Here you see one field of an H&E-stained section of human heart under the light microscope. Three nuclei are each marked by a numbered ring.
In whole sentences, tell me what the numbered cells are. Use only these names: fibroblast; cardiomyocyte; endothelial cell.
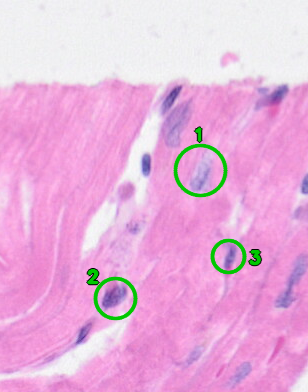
Cell 1 is a cardiomyocyte. Cell 2 is a fibroblast. Cell 3 is an endothelial cell.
